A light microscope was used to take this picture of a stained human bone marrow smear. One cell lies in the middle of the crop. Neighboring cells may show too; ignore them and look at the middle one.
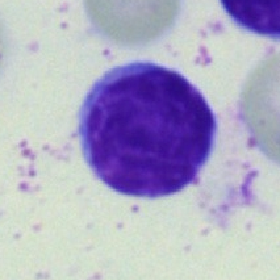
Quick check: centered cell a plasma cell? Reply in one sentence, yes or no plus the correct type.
No, the cell in the centre is to be called a lymphocyte instead of a plasma cell.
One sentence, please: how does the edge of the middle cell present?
If you check the edge, you will find it smooth without projections.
